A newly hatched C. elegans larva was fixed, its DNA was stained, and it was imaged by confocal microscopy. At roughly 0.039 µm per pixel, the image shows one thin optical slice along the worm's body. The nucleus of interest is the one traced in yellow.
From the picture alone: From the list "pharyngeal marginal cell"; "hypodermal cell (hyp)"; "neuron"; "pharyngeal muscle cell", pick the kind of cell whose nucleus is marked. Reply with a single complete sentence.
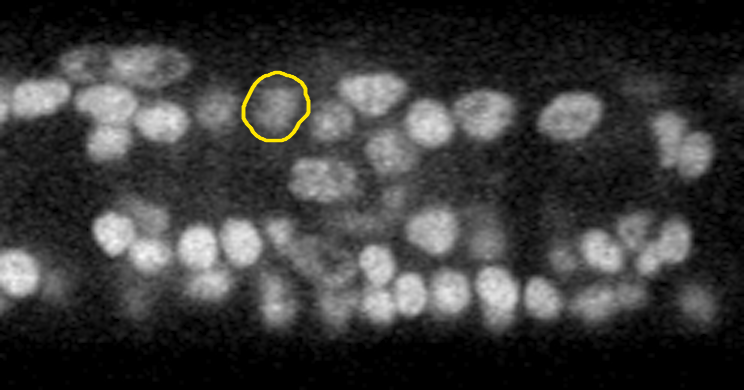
It is the nucleus of a neuron.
